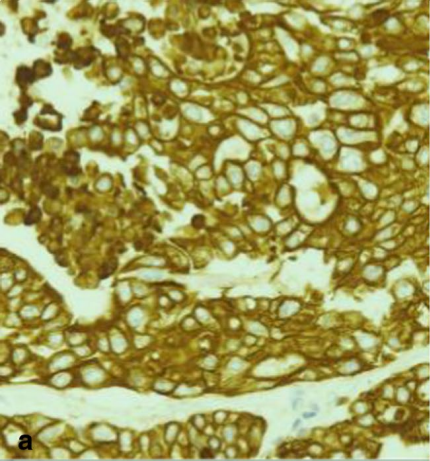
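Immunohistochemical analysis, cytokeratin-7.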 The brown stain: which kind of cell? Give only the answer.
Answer: Tumor cells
